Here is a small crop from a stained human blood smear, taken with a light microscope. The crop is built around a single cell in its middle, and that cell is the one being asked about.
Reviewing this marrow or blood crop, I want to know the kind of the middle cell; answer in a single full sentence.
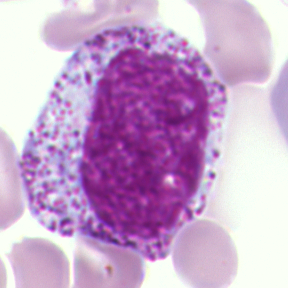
The center cell of this crop is a myelocyte.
